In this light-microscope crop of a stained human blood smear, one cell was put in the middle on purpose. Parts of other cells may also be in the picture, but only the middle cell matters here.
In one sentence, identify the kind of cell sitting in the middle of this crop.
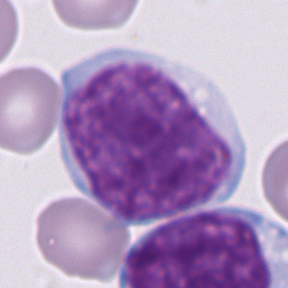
This crop's central cell is a myeloblast.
